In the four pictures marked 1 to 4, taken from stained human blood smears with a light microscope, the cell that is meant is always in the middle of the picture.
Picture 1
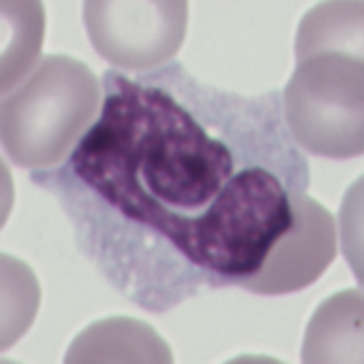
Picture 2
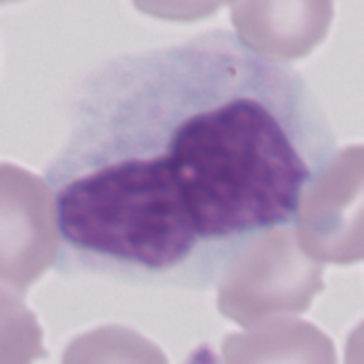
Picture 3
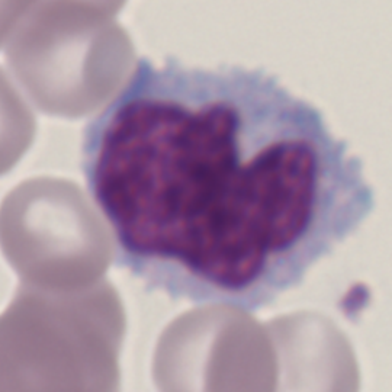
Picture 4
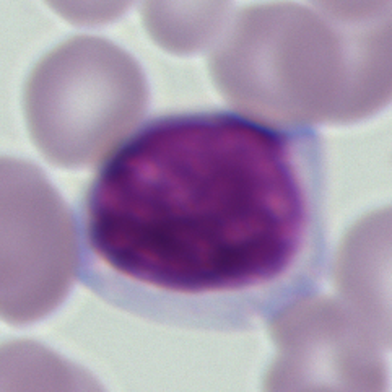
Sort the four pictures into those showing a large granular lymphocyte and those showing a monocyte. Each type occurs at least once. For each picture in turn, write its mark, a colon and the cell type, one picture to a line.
1: monocyte
2: monocyte
3: monocyte
4: large granular lymphocyte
